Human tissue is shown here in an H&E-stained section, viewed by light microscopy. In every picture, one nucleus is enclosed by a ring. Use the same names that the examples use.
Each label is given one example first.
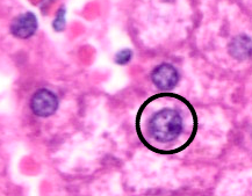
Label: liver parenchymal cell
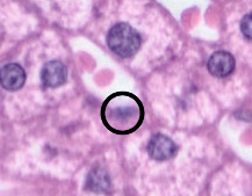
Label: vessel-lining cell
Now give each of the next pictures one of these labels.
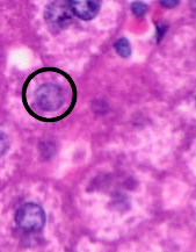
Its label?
liver parenchymal cell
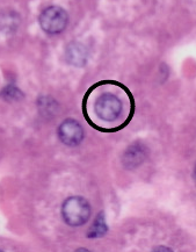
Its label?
liver parenchymal cell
